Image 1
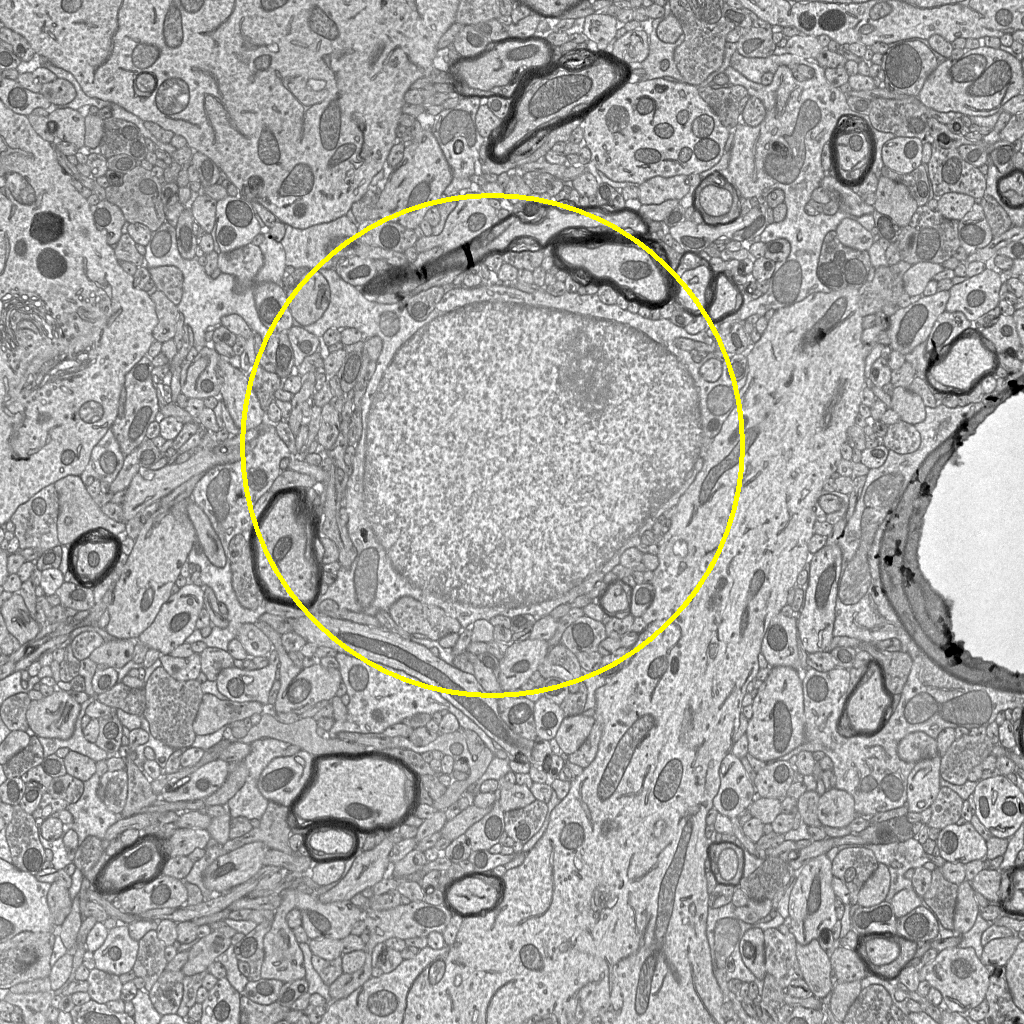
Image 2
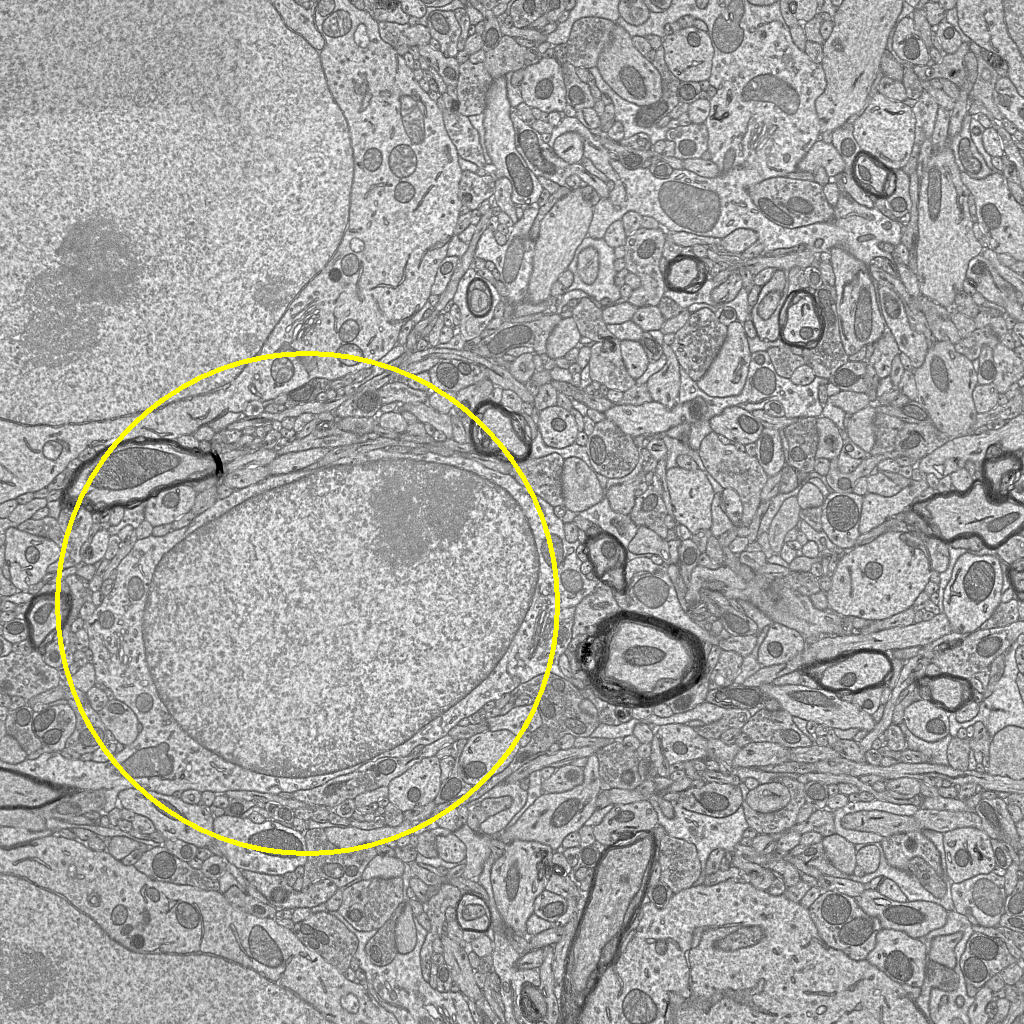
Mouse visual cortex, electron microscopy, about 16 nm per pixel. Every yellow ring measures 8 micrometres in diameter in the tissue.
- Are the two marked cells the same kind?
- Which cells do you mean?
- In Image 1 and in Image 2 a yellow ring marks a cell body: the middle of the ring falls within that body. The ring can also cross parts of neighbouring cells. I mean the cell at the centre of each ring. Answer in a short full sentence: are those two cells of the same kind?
Yes, both cells are of the same kind.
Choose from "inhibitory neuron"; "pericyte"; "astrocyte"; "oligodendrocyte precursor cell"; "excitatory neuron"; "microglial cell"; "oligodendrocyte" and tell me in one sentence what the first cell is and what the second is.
The cell at the ring centre is an astrocyte in both pictures.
